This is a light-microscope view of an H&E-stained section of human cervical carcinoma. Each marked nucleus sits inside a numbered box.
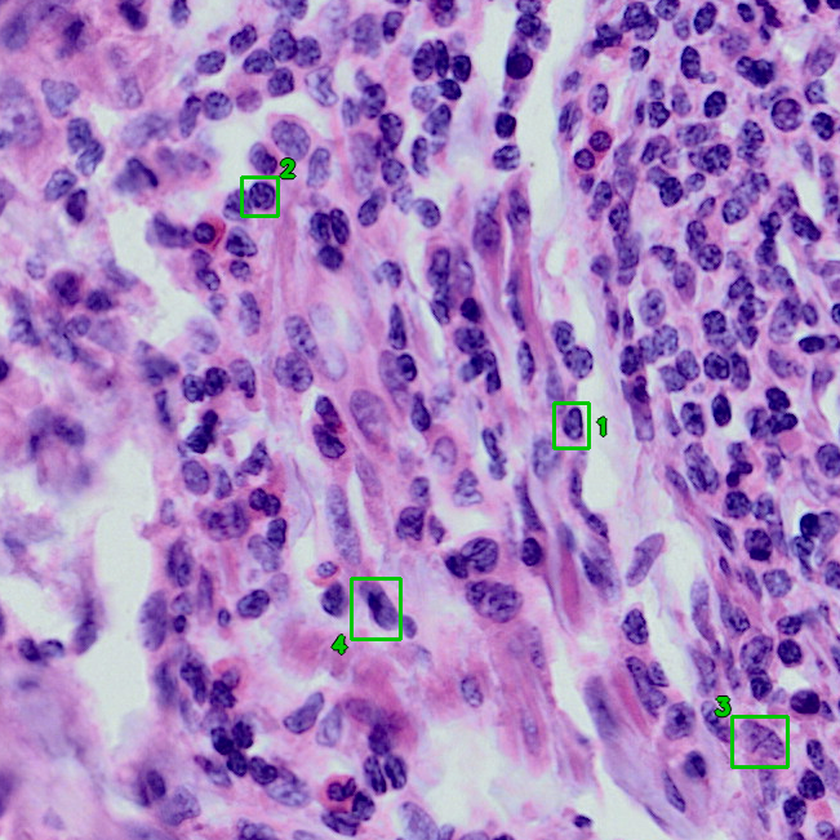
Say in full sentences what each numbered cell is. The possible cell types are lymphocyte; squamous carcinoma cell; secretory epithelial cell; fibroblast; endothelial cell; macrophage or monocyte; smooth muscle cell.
Cell 1 is a lymphocyte, cell 2 is a lymphocyte, cell 3 is a macrophage or monocyte and cell 4 is a lymphocyte.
